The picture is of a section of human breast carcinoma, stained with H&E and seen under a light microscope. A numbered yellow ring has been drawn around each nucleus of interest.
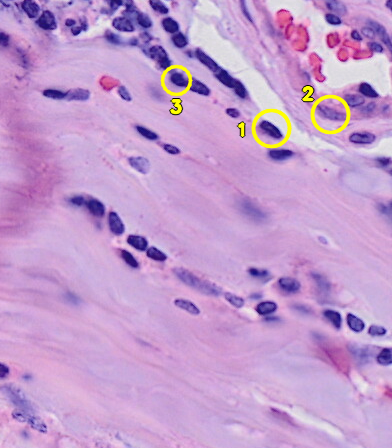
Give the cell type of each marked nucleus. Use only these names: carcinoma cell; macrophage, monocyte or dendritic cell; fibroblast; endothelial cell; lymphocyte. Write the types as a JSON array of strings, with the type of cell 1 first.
["lymphocyte", "endothelial cell", "lymphocyte"]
